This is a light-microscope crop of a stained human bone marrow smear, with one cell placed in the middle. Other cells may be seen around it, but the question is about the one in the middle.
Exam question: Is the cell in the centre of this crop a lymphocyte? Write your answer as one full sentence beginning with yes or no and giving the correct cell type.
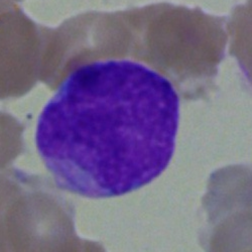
No, the centred cell is a blast instead of a lymphocyte.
